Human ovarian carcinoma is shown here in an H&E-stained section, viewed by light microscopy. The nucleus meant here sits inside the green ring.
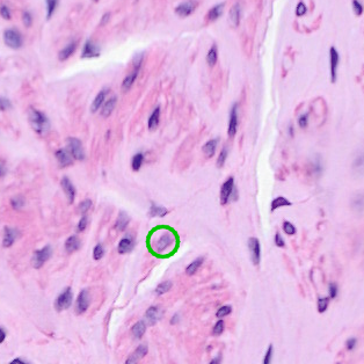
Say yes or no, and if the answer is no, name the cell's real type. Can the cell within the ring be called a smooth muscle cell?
Yes.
